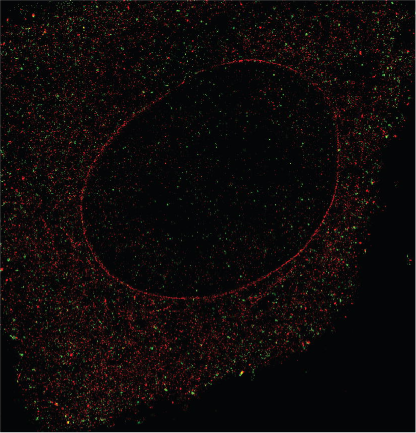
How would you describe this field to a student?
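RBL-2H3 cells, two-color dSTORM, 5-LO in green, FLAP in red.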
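A large oval nucleus sits in the middle; its edge, the nuclear envelope, is drawn as a thin, continuous red line. Inside that oval the field is dark, with only a few scattered points. Outside it the cytoplasm is densely filled with small red and green dots that spread out to the irregular cell border. Here and there a red and a green dot lie together and look yellowish.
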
